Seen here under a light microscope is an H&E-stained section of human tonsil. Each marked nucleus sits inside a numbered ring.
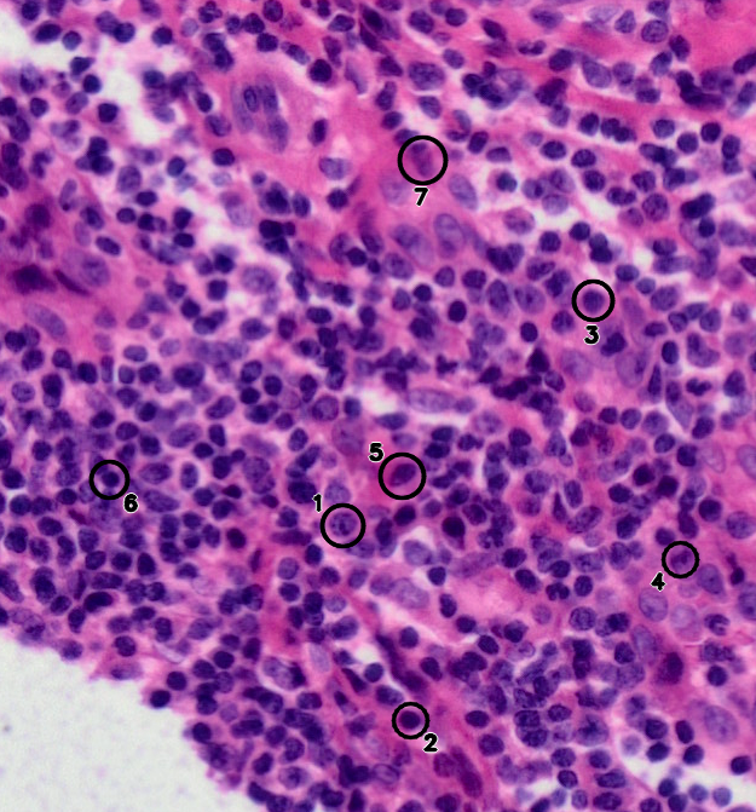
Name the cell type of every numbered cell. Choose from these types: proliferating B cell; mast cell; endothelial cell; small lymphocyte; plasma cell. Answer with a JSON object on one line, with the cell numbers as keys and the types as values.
{"1": "plasma cell", "2": "endothelial cell", "3": "endothelial cell", "4": "endothelial cell", "5": "plasma cell", "6": "small lymphocyte", "7": "endothelial cell"}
